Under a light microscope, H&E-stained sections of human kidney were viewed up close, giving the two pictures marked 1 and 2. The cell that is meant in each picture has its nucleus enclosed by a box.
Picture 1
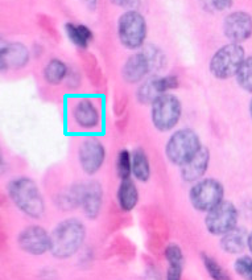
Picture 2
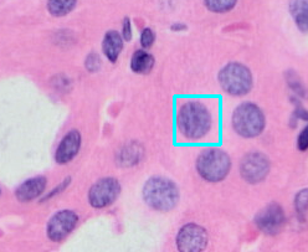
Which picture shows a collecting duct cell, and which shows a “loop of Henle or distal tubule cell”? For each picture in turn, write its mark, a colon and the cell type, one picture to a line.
1: collecting duct cell
2: loop of Henle or distal tubule cell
